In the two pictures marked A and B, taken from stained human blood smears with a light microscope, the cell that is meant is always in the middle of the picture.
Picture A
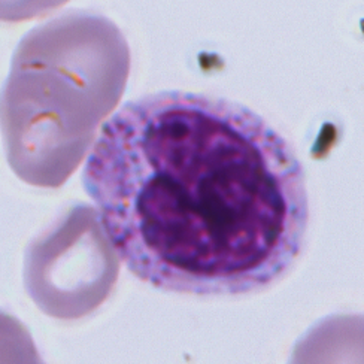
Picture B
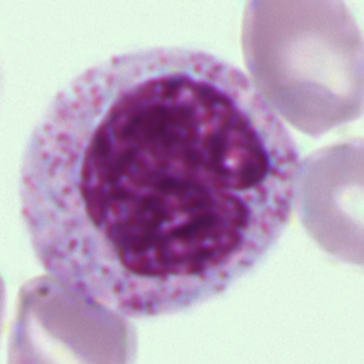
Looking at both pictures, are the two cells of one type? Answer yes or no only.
yes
